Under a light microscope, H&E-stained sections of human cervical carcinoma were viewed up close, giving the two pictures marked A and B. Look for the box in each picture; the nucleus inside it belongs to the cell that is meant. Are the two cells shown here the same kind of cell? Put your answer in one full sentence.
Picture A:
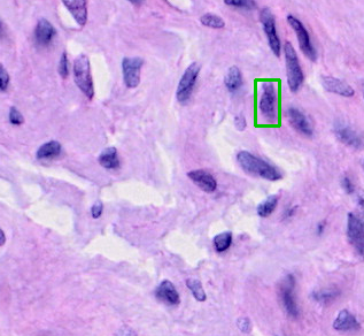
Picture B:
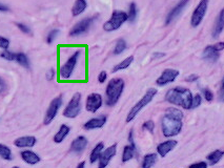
Yes, both are fibroblasts.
